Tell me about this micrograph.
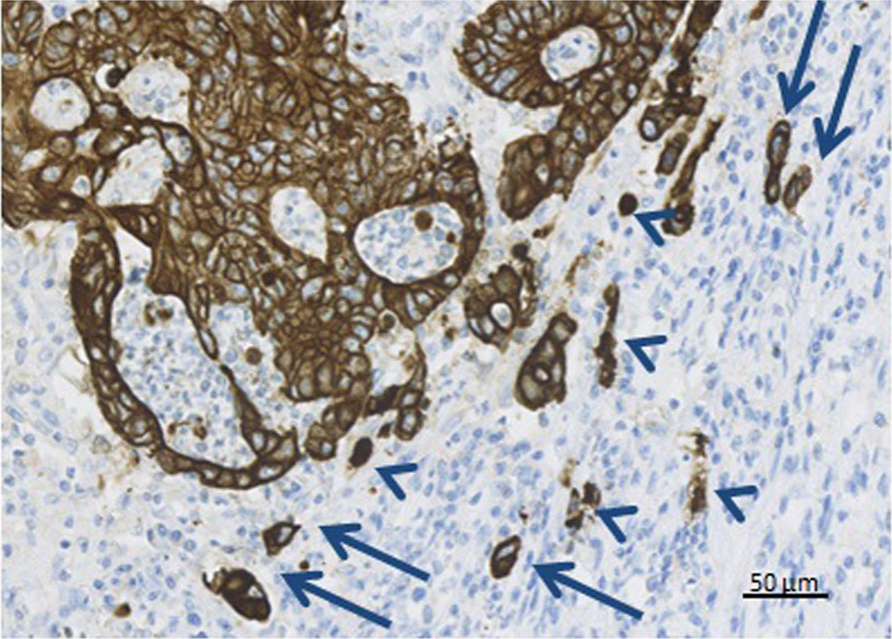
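This is the invasive front of an adenocarcinoma, where large brown-stained tumour glands with open lumina border on a blue stroma of spindle-shaped cells. At the edge of the glands, single brown tumour cells and small clusters of a few cells have broken away and lie isolated in the stroma; these are tumour buds, each showing a pale blue nucleus within brown cytoplasm. Scattered among them are smaller brown bits without a clear nucleus, cytoplasmatic fragments that are not whole cells.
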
